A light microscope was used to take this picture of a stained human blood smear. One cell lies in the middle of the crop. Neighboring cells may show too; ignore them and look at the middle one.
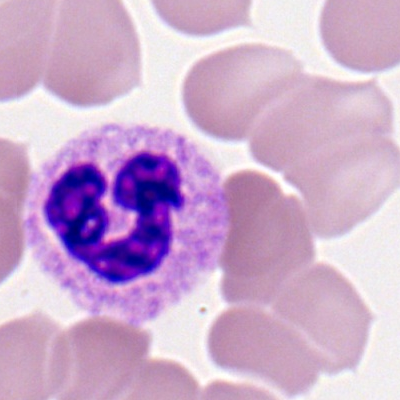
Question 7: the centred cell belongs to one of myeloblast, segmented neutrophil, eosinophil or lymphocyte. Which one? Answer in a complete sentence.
Whatever else lies nearby, the middle cell is a segmented neutrophil.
